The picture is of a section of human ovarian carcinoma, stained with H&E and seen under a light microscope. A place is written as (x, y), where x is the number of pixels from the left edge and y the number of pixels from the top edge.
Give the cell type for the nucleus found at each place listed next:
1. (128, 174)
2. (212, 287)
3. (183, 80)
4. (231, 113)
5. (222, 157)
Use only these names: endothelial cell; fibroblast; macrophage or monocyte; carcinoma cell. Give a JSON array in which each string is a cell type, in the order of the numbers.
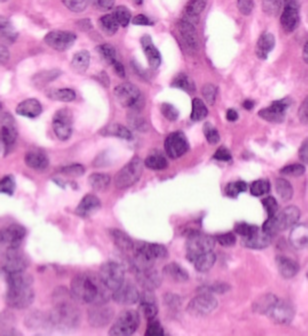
["carcinoma cell", "carcinoma cell", "carcinoma cell", "macrophage or monocyte", "macrophage or monocyte"]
